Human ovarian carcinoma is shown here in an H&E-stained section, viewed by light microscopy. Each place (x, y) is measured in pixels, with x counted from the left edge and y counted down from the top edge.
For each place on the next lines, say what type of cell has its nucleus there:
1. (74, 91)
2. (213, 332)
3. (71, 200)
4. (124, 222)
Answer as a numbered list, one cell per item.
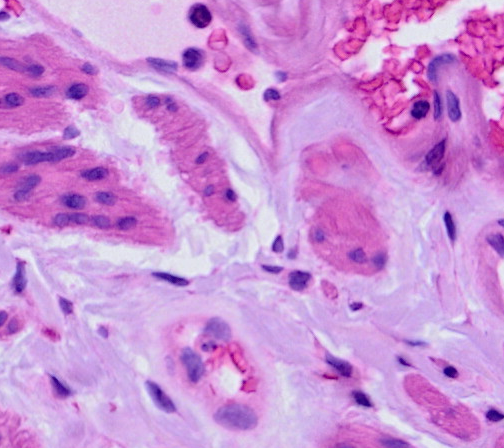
1. smooth muscle cell
2. endothelial cell
3. smooth muscle cell
4. smooth muscle cell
